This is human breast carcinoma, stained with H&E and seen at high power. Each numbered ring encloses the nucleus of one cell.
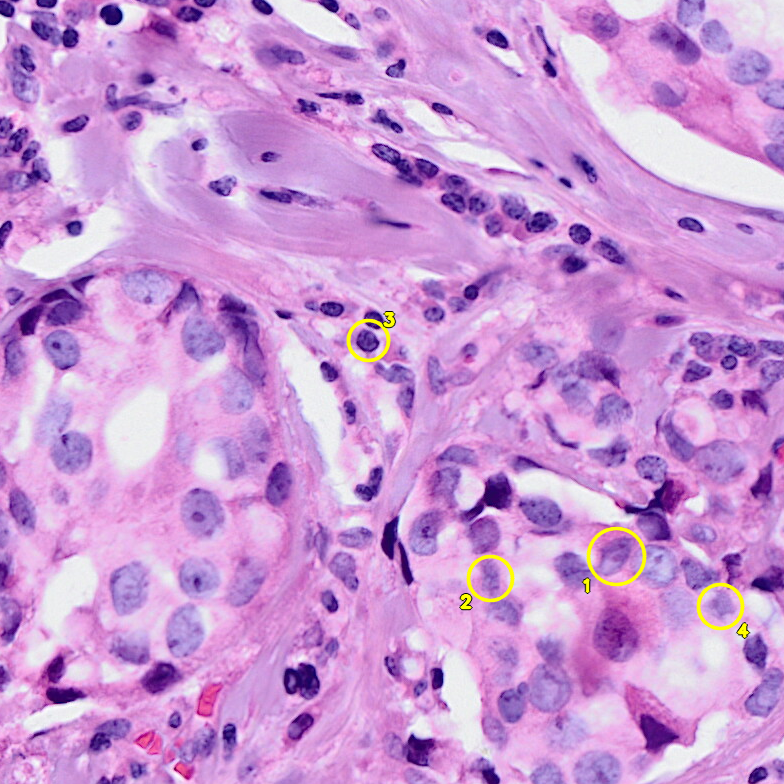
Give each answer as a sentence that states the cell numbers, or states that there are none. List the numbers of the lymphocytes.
Among all the marked cells, a lymphocyte is found only at number 3.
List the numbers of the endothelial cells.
The correct answer is that none of the numbered cells are endothelial cells.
